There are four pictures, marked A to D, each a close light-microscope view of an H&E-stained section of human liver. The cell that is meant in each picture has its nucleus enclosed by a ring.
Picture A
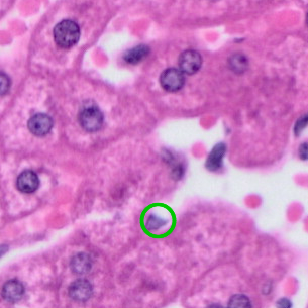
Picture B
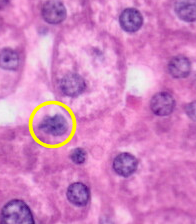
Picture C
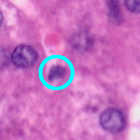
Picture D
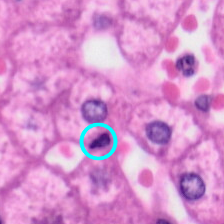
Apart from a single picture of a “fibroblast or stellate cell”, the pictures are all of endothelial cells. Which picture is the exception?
D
